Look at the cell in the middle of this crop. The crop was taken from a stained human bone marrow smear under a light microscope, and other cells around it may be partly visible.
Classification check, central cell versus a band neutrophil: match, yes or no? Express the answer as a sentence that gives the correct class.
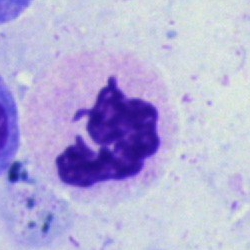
No, the cell in the middle is not a band neutrophil but a segmented neutrophil.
